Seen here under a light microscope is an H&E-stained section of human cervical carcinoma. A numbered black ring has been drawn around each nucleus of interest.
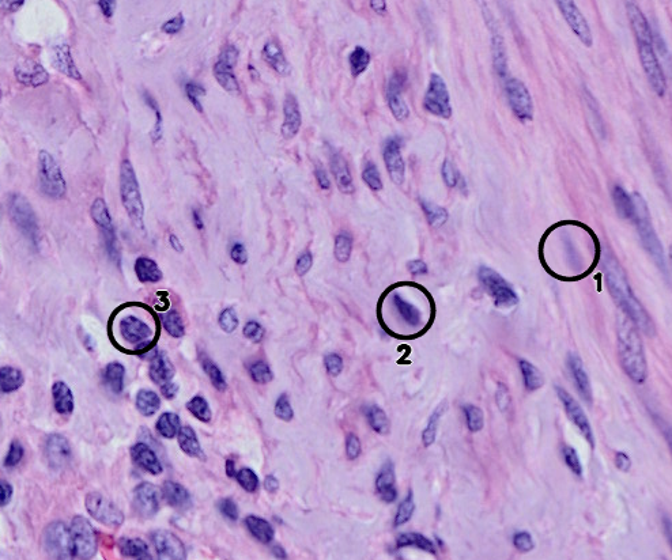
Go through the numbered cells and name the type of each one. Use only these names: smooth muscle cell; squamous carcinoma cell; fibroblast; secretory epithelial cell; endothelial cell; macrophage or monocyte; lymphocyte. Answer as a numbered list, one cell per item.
1. smooth muscle cell
2. lymphocyte
3. lymphocyte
